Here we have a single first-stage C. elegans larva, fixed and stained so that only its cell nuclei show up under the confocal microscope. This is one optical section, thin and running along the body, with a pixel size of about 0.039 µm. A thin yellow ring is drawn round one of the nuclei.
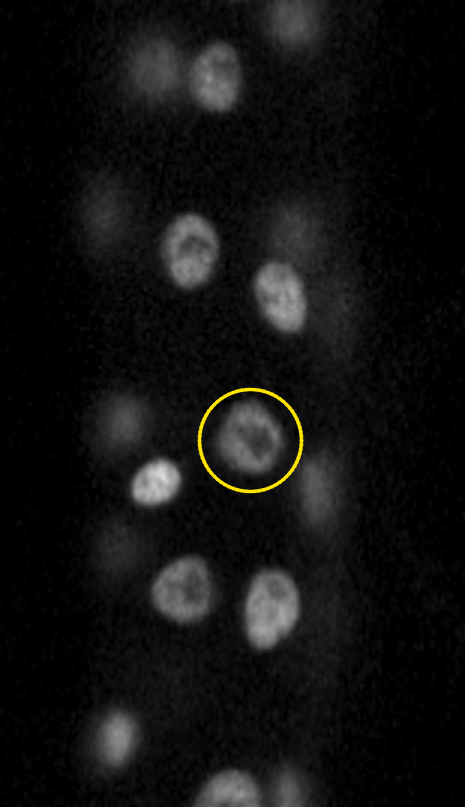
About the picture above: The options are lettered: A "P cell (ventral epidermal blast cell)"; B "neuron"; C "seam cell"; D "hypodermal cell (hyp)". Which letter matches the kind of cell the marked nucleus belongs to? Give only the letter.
C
